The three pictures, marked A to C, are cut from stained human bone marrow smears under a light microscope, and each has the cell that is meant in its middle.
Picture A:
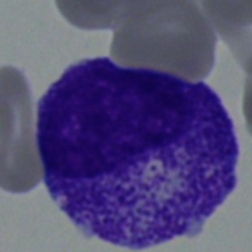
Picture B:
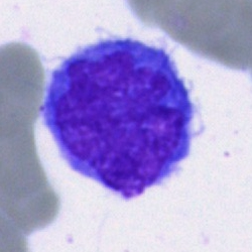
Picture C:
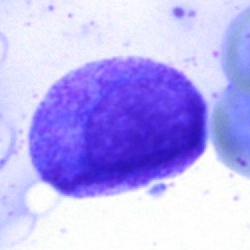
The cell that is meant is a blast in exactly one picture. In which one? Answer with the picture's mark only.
B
